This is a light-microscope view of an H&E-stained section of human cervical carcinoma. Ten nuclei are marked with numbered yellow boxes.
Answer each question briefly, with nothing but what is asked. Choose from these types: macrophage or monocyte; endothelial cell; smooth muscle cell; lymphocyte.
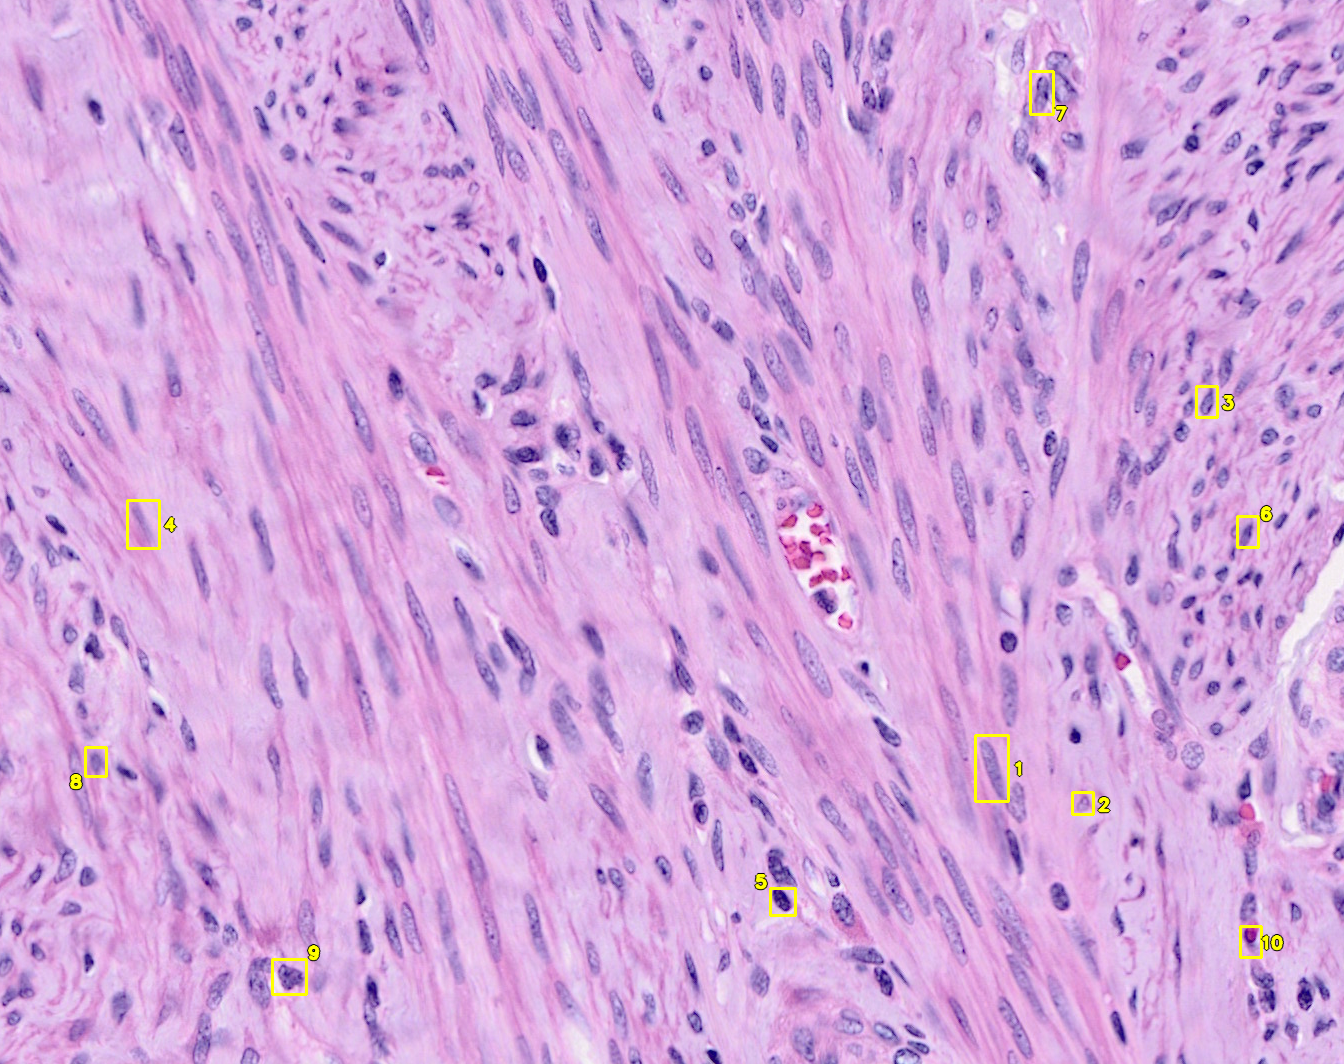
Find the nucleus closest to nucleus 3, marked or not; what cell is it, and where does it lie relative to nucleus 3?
a smooth muscle cell; to the left of nucleus 3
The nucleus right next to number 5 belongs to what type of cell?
lymphocyte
